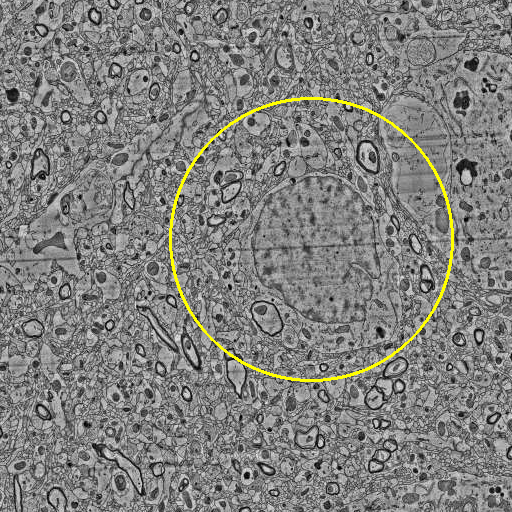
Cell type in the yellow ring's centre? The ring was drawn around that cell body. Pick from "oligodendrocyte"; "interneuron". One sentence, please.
The ringed cell body is that of an interneuron.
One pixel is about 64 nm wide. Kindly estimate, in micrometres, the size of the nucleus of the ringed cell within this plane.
The nucleus appears roughly 10 by 8 micrometres in this plane.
